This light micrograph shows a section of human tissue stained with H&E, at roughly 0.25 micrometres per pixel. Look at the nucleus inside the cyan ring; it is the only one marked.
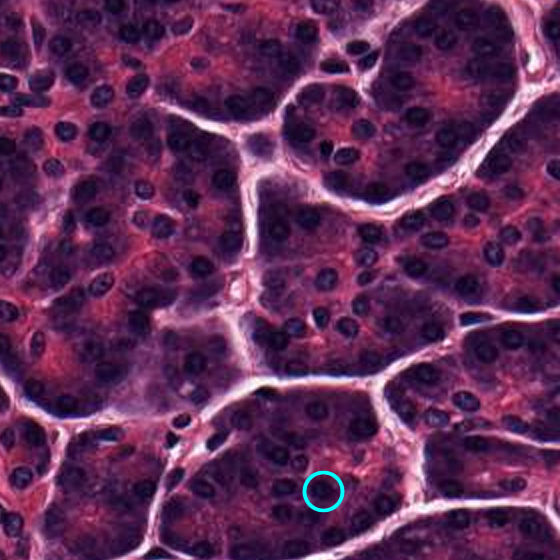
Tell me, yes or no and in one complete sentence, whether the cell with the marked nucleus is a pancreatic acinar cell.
Yes, the marked nucleus is located in a pancreatic acinar cell.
